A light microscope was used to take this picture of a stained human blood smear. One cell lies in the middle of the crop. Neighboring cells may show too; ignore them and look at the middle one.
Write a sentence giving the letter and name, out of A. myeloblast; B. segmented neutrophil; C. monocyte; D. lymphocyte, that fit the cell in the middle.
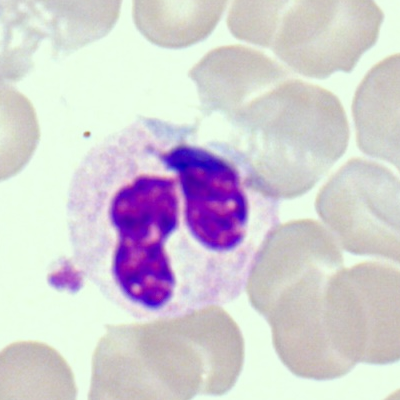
Option B is right in identifying the central cell as a segmented neutrophil.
